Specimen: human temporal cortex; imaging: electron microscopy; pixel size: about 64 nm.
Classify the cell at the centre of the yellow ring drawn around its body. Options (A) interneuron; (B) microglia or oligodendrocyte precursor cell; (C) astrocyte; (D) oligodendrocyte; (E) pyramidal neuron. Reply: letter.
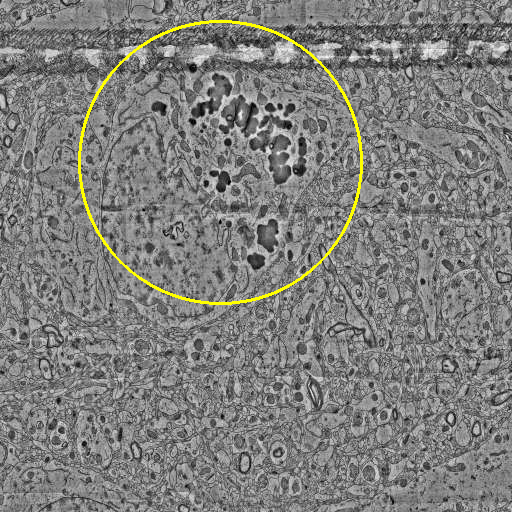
A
